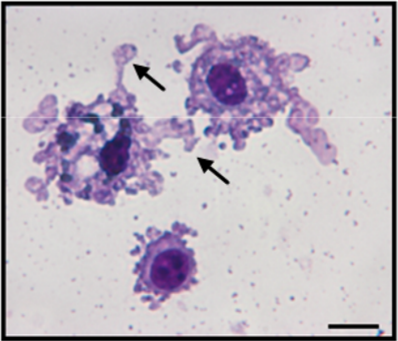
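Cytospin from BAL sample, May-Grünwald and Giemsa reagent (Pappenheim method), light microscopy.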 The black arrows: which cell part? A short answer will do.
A: Membrane protrusions.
